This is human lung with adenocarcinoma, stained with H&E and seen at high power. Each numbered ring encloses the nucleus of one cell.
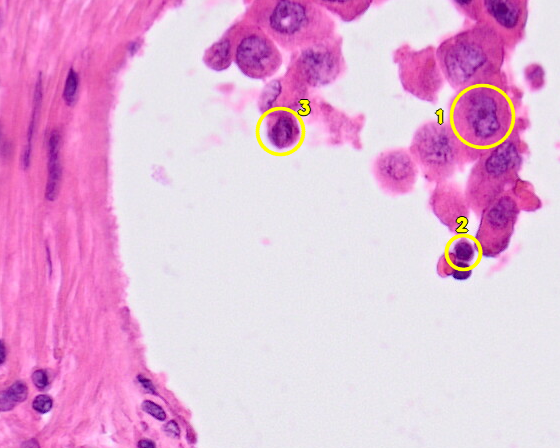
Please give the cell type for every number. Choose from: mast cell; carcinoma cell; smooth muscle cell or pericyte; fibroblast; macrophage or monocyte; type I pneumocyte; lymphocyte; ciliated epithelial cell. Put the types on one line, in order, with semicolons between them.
carcinoma cell; lymphocyte; macrophage or monocyte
